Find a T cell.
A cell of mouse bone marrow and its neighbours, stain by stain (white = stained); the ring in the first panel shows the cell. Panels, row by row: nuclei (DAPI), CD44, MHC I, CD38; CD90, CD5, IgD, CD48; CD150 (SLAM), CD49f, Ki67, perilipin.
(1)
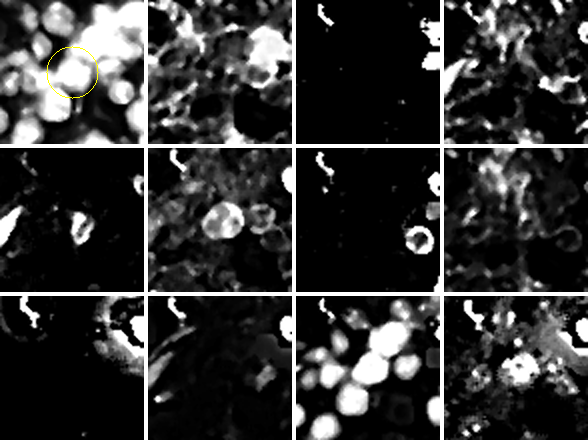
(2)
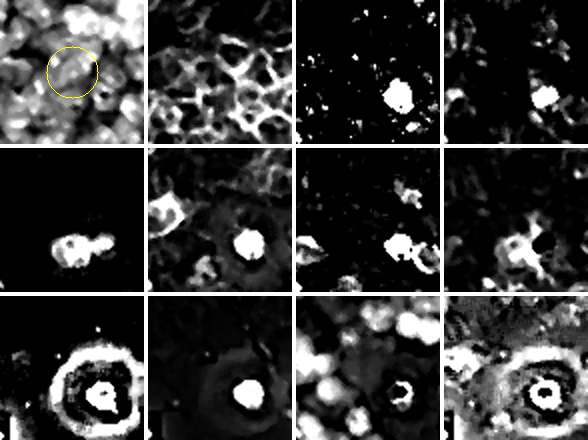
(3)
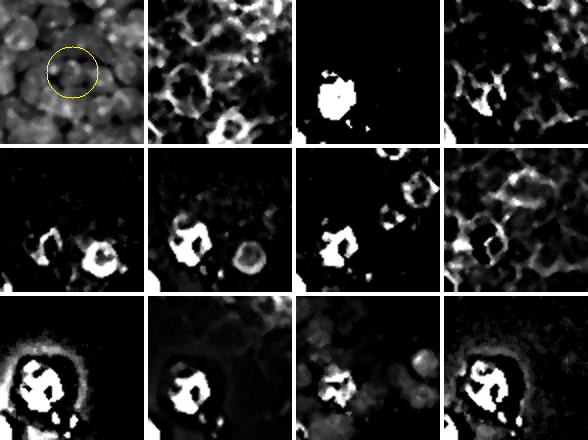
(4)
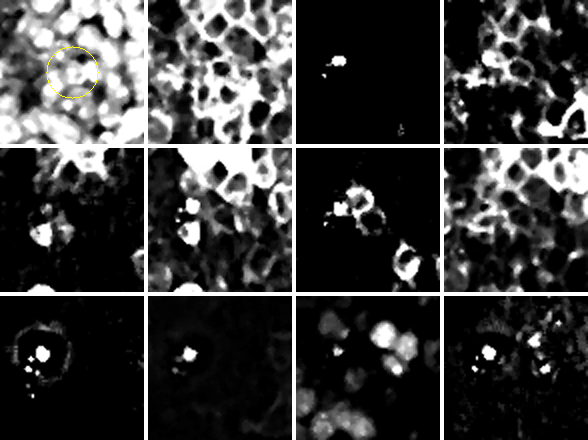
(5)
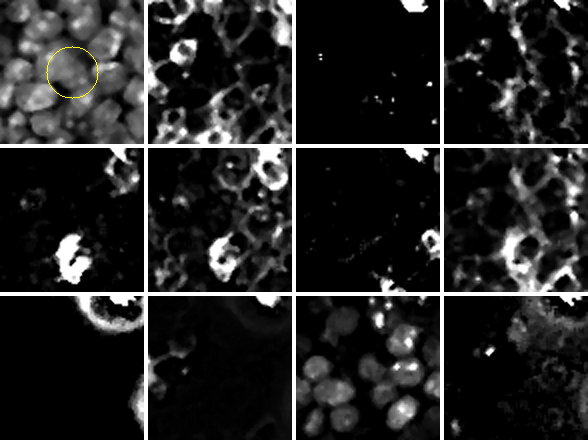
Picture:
1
